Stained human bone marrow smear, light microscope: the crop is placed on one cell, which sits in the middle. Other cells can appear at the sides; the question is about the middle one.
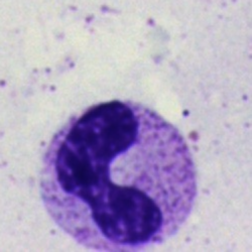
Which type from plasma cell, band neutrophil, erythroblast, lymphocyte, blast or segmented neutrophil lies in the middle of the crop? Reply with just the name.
band neutrophil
